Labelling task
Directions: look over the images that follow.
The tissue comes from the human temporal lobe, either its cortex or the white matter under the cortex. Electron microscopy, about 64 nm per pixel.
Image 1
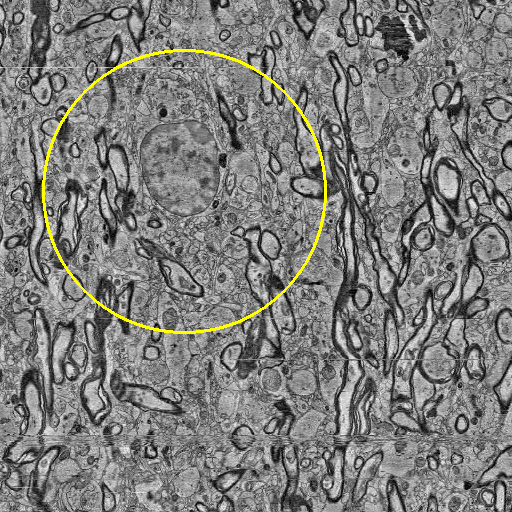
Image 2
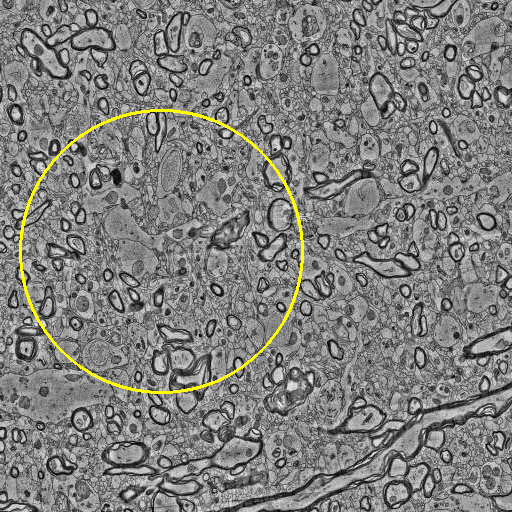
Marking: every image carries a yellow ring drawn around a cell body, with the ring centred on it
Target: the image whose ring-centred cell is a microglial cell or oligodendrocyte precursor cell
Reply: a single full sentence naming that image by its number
The requested cell sits at the ring's centre in Image 1.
